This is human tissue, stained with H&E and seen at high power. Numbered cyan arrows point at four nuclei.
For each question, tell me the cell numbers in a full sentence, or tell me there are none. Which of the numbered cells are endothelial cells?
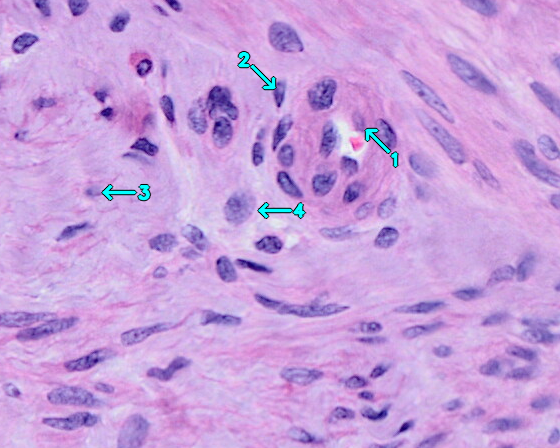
Response: cell 1 is an endothelial cell, and no other numbered cell is.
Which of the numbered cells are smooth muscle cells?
Cell 3 is a smooth muscle cell, and this holds for no other numbered cell.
